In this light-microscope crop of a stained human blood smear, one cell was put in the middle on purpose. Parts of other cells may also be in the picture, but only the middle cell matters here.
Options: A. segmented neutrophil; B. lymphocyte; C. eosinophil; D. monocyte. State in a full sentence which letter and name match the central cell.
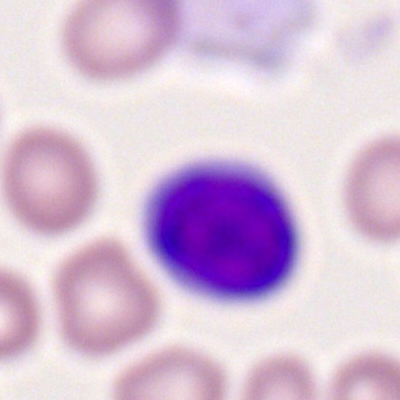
Option B, which names the central cell as a lymphocyte, is correct.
